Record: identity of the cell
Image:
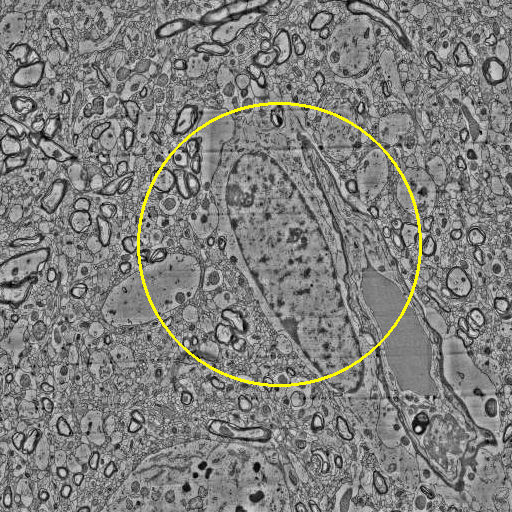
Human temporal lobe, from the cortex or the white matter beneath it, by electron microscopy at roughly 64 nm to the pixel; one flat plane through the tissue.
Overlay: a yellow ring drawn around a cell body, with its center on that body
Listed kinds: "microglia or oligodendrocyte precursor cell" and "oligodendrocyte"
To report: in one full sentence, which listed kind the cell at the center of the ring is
In the image, the cell body at the ring's center belongs to a microglial cell or oligodendrocyte precursor cell.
